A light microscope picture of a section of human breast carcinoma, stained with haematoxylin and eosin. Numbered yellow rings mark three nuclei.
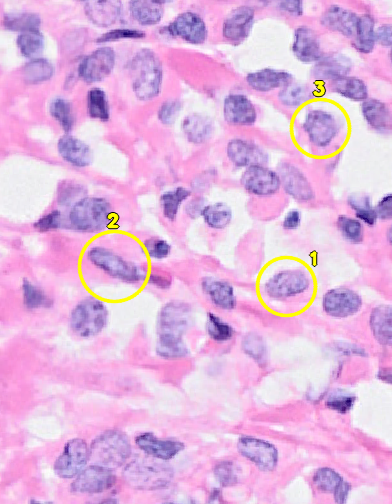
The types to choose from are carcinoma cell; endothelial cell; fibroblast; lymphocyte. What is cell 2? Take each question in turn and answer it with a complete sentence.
The cell carrying label 2 is identified as an endothelial cell.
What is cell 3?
The expected answer is that cell 3 is a carcinoma cell.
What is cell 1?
The cell referred to as 1 is a carcinoma cell.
